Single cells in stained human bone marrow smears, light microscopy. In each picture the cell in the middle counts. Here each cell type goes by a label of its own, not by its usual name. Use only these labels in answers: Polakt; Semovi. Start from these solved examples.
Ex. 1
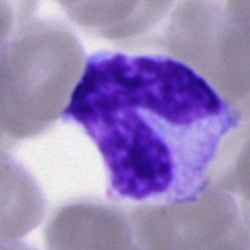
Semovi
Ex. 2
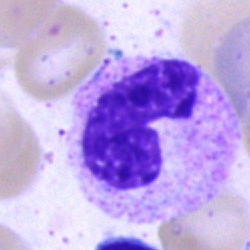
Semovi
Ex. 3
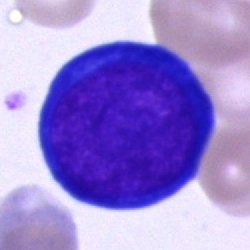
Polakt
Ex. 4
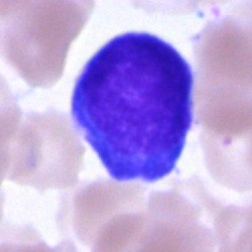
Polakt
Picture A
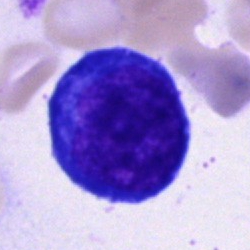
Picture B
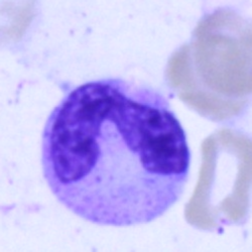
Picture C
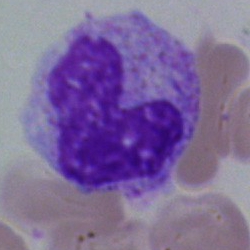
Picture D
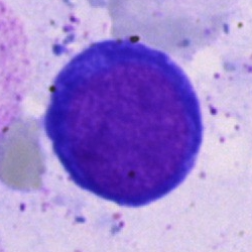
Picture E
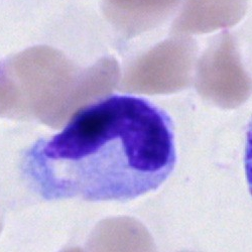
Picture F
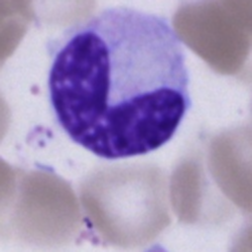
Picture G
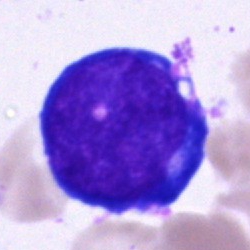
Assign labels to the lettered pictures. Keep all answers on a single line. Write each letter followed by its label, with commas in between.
A Polakt, B Semovi, C Semovi, D Polakt, E Semovi, F Semovi, G Polakt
